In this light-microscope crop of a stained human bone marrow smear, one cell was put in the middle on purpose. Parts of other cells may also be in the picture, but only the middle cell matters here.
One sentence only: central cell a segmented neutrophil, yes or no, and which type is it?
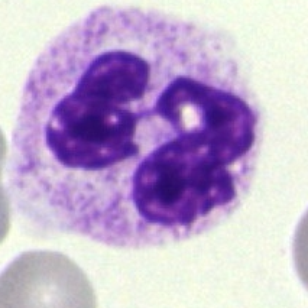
Yes, the cell in the middle of this smear crop is a segmented neutrophil.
